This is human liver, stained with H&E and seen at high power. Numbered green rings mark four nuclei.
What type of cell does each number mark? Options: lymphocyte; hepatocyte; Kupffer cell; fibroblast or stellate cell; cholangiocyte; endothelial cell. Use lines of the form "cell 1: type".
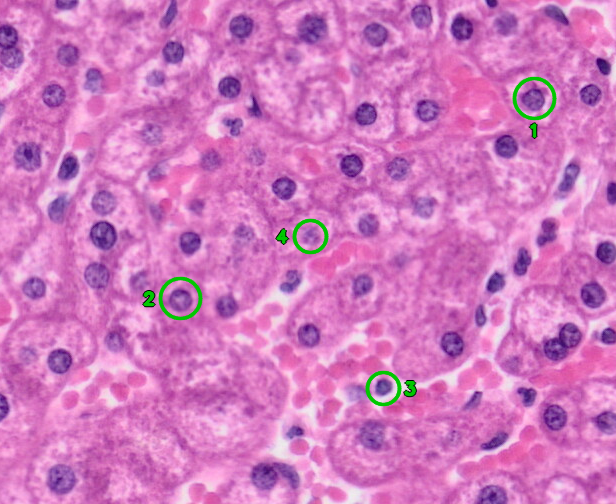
cell 1: hepatocyte
cell 2: hepatocyte
cell 3: lymphocyte
cell 4: hepatocyte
